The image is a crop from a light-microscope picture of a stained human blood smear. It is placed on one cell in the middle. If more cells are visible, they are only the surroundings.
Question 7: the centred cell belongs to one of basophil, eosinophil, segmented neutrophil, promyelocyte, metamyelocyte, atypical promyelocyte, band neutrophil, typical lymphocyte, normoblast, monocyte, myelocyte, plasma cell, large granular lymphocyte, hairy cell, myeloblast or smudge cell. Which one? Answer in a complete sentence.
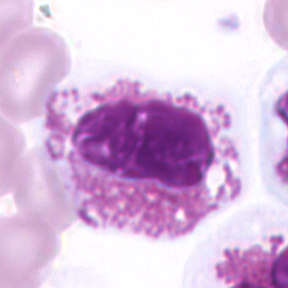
The crop's centre is taken up by an eosinophil.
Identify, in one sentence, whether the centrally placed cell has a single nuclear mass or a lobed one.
Worth pointing out that its nucleus is one compact mass, round, oval or reniform.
